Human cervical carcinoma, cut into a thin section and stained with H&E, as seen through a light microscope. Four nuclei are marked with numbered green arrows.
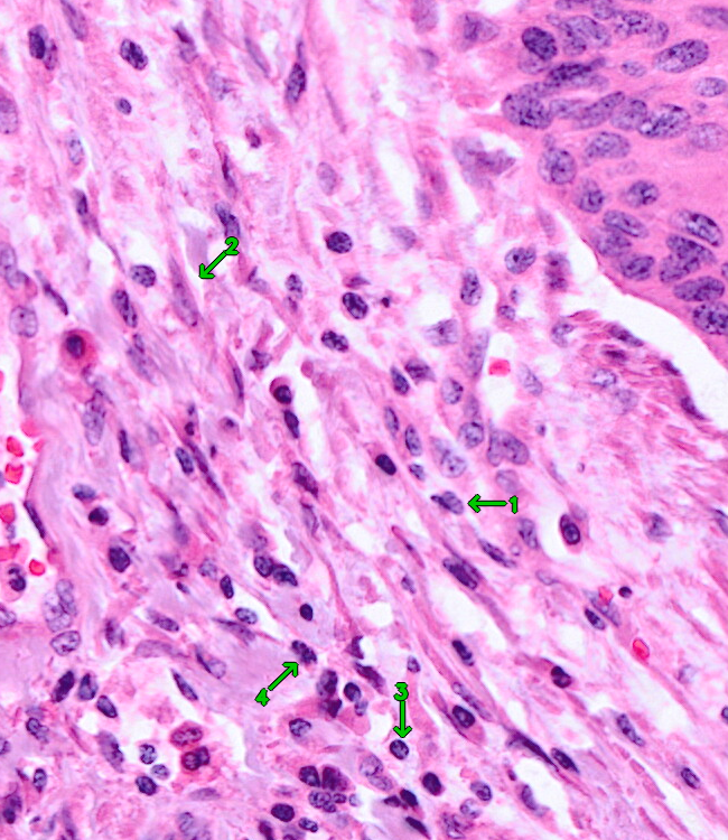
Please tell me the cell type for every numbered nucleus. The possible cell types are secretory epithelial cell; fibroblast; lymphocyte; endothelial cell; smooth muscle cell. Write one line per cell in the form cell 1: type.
cell 1: lymphocyte
cell 2: fibroblast
cell 3: lymphocyte
cell 4: lymphocyte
